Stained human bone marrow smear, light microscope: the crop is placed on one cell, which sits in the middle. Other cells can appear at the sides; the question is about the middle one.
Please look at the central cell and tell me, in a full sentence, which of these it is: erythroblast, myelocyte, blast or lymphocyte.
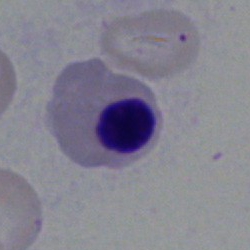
The cell at the central position in this crop is an erythroblast.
